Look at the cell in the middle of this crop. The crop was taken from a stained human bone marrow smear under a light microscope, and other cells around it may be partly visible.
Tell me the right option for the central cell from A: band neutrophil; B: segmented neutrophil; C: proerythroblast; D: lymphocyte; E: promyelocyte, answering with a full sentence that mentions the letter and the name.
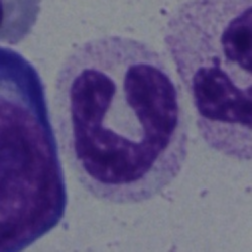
This one is option A, since the cell at the center is a band neutrophil.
